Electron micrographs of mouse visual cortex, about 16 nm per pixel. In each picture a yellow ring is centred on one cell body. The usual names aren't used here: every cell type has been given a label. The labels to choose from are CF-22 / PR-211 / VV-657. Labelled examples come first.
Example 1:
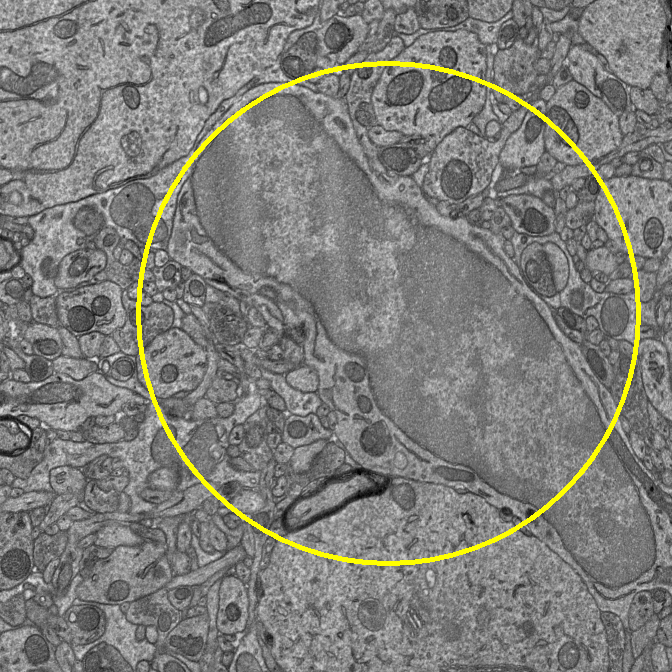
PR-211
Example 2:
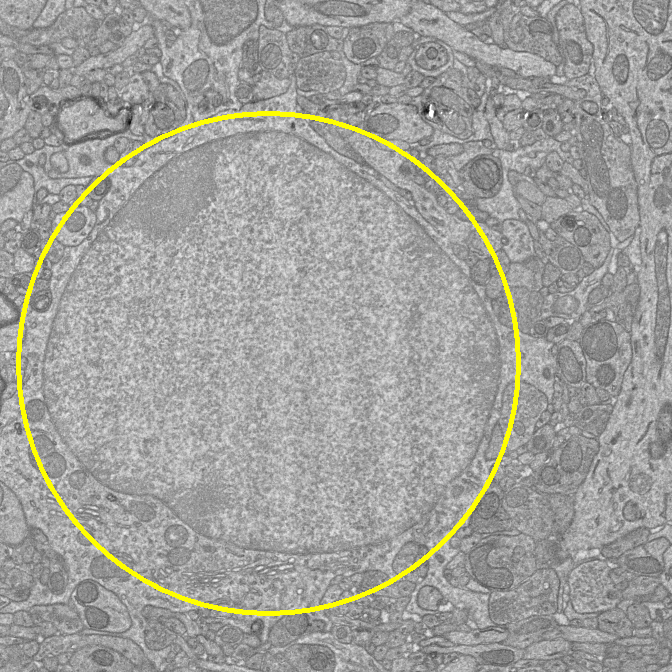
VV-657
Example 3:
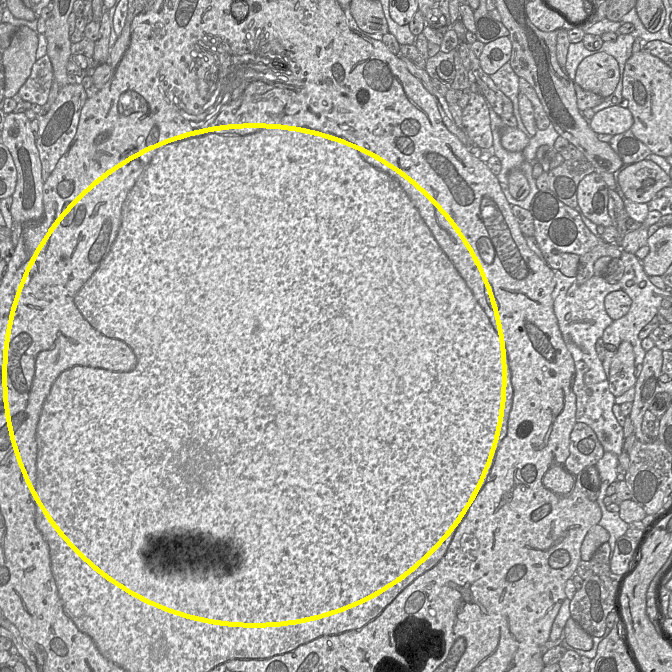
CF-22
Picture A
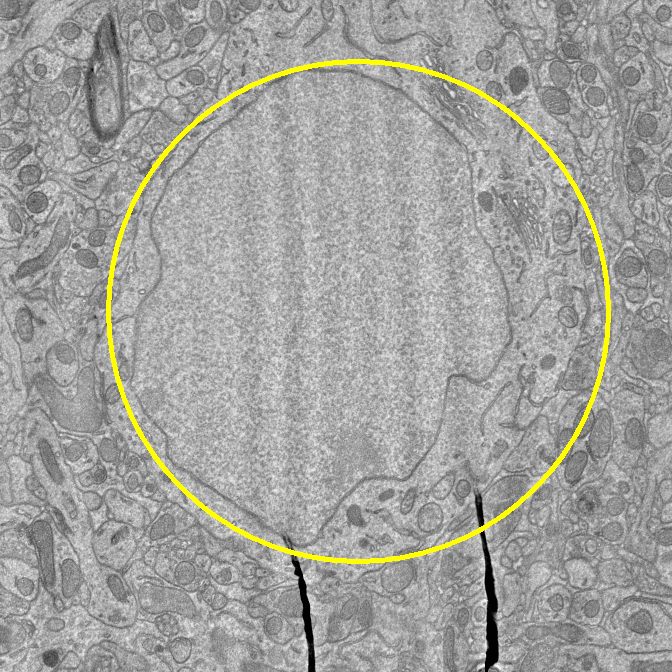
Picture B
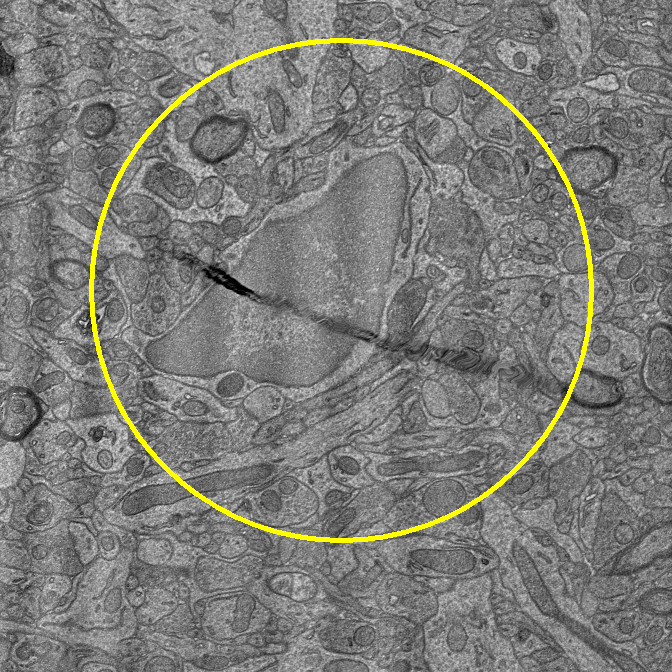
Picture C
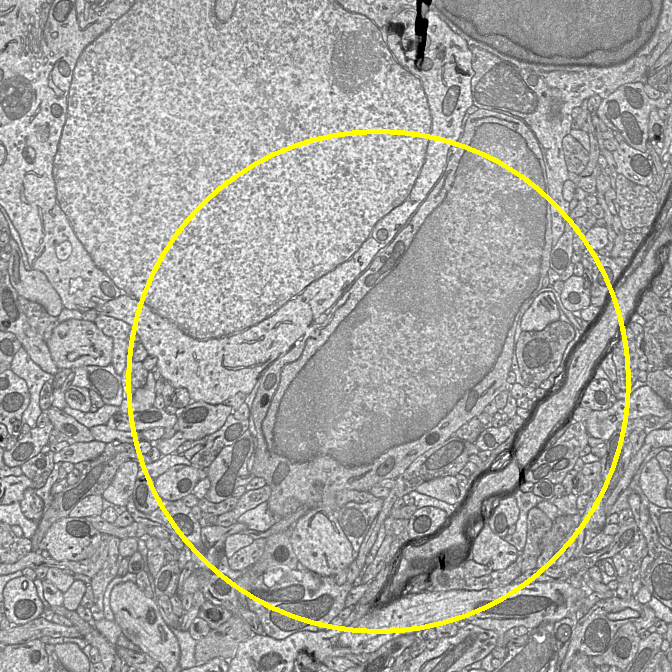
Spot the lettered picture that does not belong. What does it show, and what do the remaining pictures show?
A: CF-22; all the others: PR-211.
